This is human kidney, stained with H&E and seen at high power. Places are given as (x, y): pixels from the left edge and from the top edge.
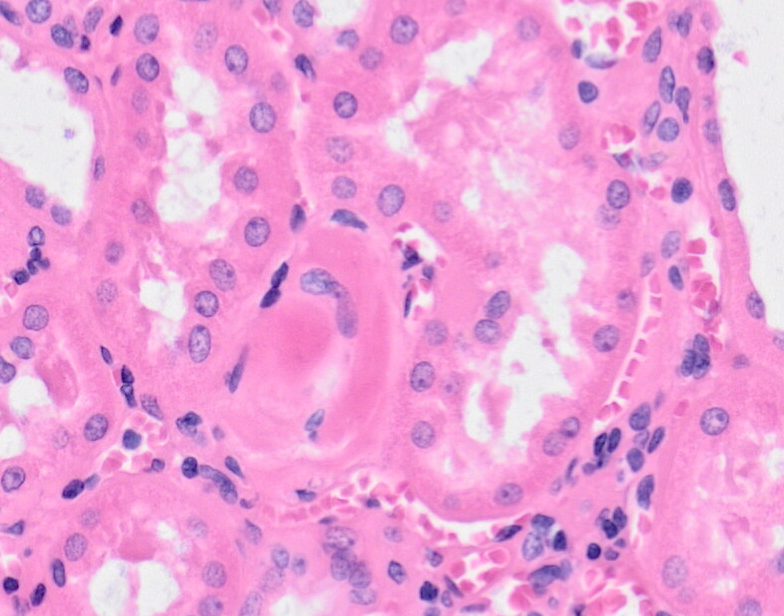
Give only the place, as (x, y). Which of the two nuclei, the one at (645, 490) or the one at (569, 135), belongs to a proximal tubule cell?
(569, 135)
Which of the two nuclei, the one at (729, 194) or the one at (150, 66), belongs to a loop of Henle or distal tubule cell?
(729, 194)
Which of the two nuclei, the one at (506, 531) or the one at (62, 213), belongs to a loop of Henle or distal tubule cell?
(62, 213)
